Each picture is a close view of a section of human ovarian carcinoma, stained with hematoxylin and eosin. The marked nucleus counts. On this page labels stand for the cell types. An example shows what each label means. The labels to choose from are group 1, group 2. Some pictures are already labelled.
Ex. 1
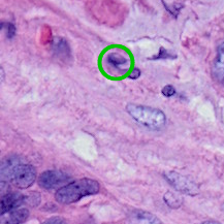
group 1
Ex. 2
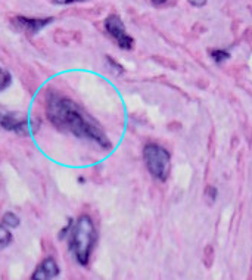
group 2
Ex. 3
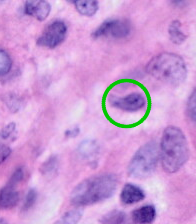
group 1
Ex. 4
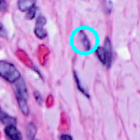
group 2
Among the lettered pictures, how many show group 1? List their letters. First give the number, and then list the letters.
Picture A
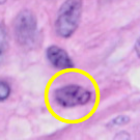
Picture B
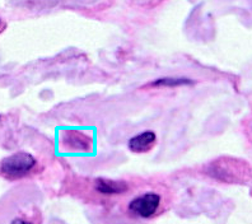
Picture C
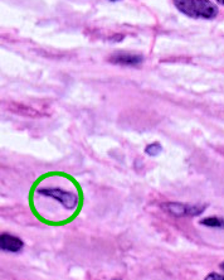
Count: 2 (A, C)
